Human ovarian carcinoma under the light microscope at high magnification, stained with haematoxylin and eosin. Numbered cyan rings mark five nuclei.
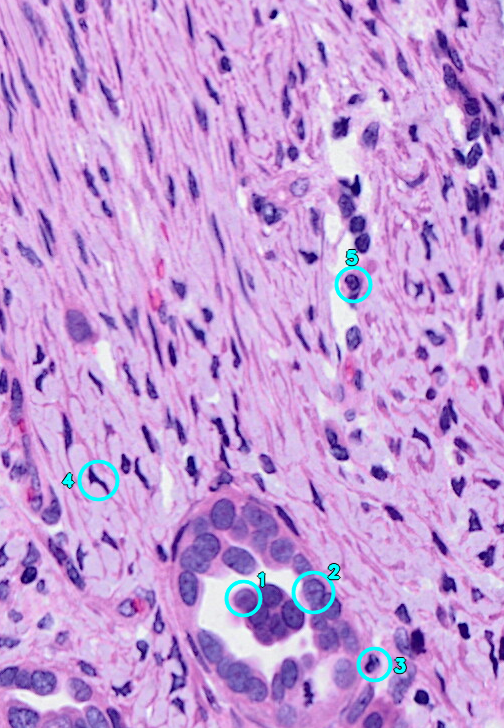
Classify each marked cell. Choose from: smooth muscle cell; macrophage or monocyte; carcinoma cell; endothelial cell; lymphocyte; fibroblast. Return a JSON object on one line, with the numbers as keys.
{"1": "carcinoma cell", "2": "carcinoma cell", "3": "lymphocyte", "4": "fibroblast", "5": "lymphocyte"}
